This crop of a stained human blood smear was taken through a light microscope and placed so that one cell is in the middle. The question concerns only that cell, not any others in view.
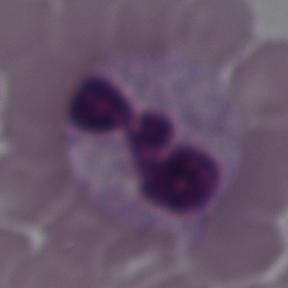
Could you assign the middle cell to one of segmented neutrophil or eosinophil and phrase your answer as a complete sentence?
At the middle of the frame sits a segmented neutrophil.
